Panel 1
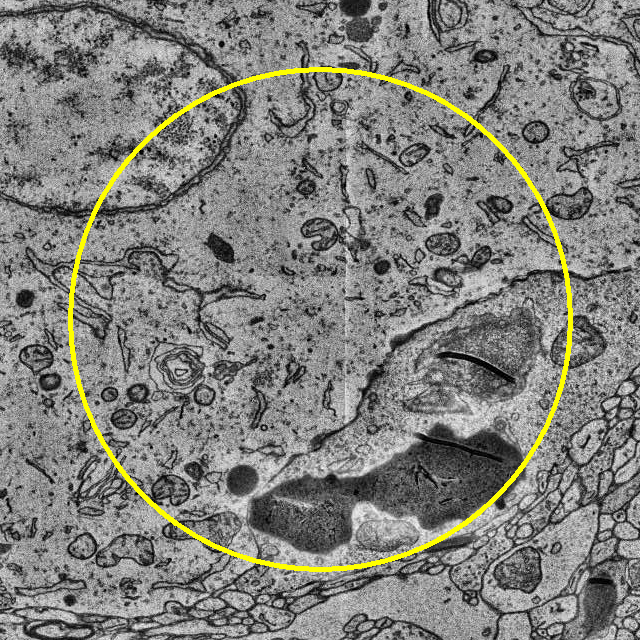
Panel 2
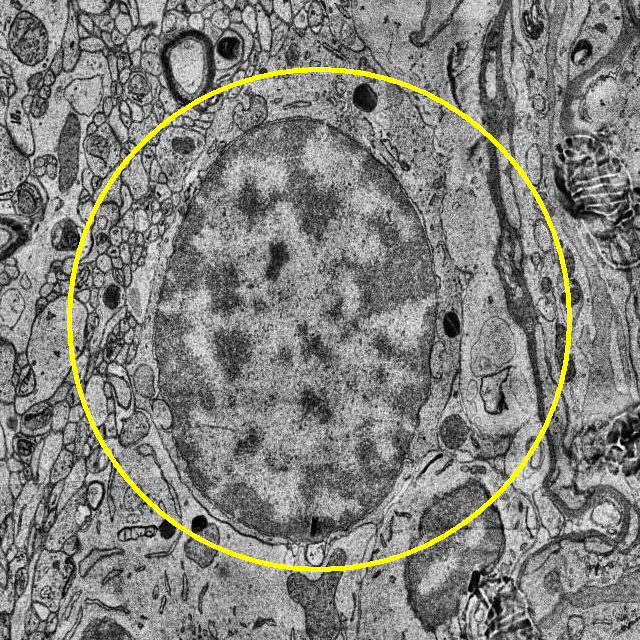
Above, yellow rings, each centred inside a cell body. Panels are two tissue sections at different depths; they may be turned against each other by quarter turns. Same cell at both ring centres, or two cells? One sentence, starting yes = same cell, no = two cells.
No, the two rings in this image mark separate cells.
